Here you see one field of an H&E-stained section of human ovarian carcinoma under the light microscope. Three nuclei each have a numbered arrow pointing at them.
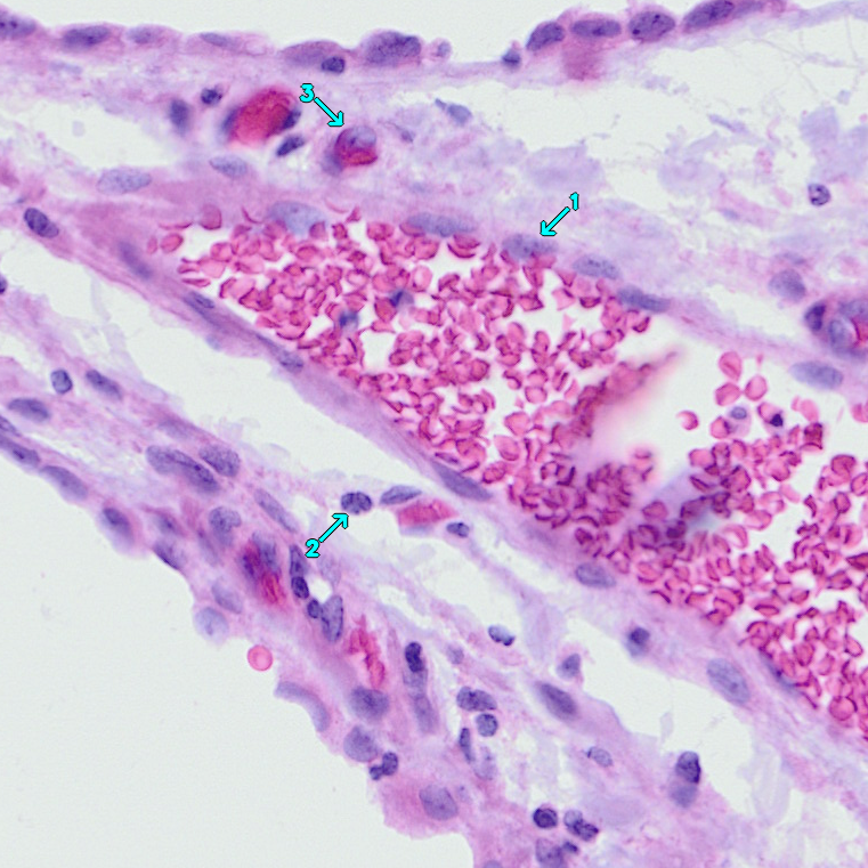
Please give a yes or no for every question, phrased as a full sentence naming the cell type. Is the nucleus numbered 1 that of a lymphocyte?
No, calling cell 1 a lymphocyte is incorrect; it is an endothelial cell.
